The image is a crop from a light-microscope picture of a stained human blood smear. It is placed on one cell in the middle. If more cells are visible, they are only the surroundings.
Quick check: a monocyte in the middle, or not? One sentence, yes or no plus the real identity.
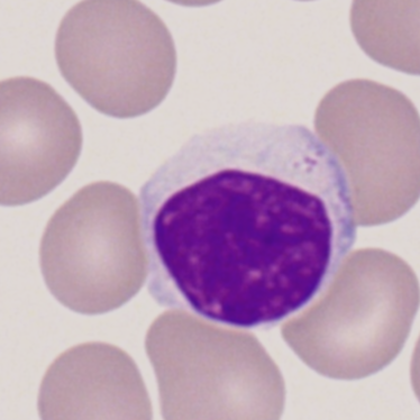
No, this is not a monocyte at all; the cell in the middle is a lymphocyte.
